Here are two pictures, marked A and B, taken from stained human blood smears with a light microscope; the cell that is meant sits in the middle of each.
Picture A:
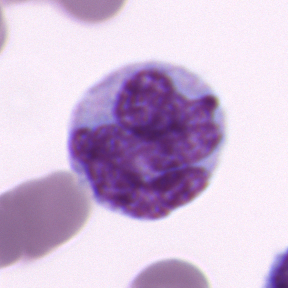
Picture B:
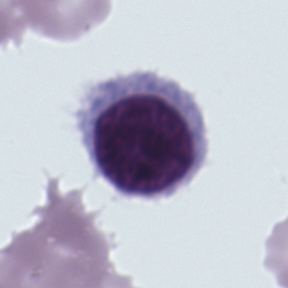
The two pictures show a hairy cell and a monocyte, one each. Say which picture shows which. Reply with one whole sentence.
It is picture A that shows a monocyte, and picture B that shows a hairy cell.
